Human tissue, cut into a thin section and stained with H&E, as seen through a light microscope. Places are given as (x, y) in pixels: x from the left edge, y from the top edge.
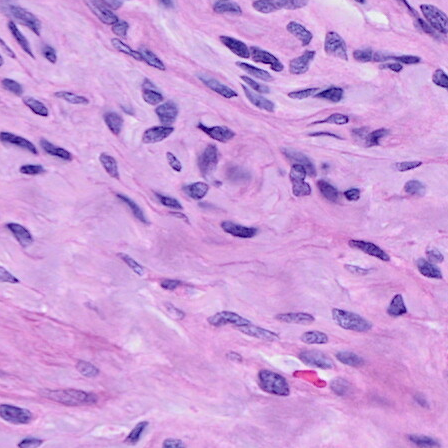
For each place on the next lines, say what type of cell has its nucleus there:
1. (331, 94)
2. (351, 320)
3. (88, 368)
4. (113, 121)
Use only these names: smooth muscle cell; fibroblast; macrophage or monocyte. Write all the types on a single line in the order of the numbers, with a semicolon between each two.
fibroblast; fibroblast; smooth muscle cell; fibroblast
